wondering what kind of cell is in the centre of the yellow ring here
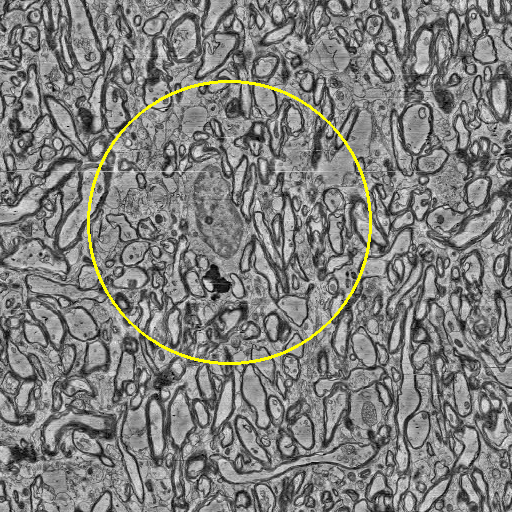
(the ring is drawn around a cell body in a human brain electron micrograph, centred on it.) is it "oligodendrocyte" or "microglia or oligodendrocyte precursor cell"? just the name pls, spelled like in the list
oligodendrocyte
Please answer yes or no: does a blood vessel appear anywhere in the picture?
No, no blood vessel can be seen.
